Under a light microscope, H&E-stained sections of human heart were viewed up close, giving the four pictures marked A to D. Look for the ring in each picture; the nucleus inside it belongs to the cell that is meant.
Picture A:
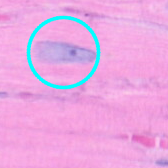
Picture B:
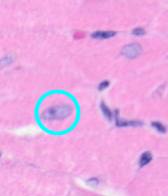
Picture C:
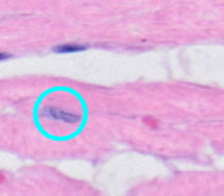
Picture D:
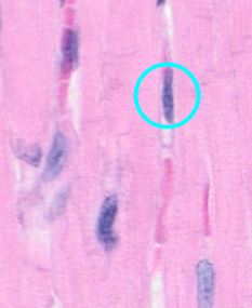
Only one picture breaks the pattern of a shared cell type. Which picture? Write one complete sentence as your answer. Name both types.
All pictures except D show cardiomyocytes; picture D shows an endothelial cell.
